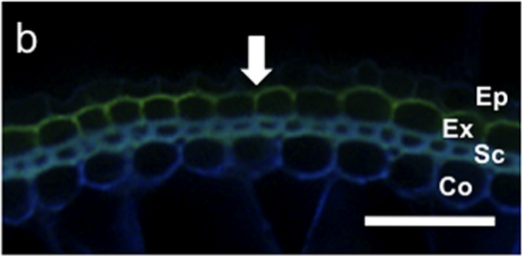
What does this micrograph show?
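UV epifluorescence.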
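This fluorescence image shows the outer cell layers of a root in cross-section against a dark background, with a row of large rounded cells near the surface, a narrower band of small cells beneath, and larger rounded cortex cells deeper in with faint blue walls. The band of small cells below has pale blue-white walls. The deeper cortex cells give only dim blue outlines.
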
